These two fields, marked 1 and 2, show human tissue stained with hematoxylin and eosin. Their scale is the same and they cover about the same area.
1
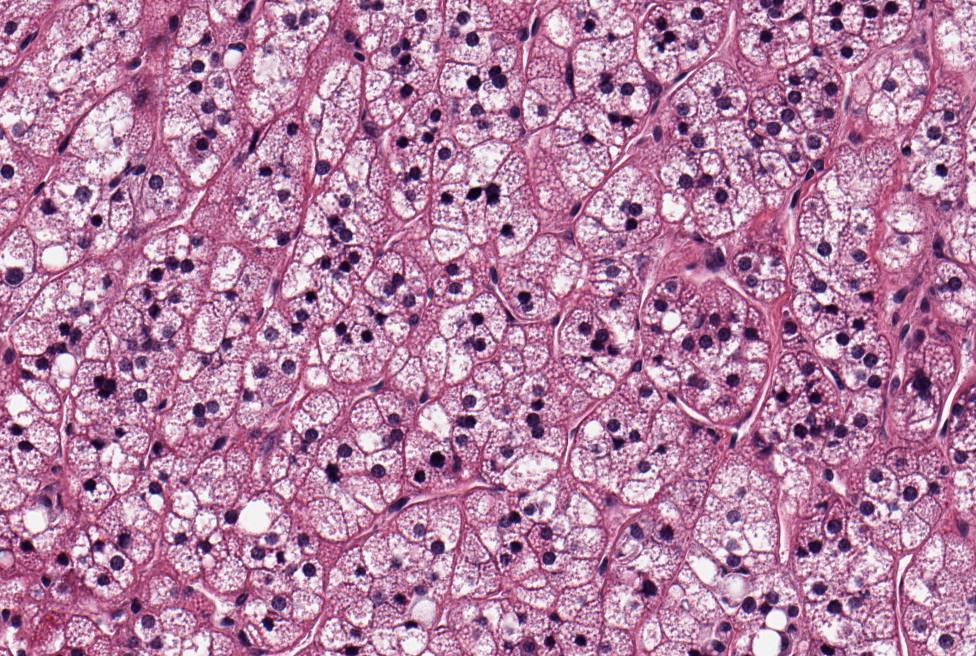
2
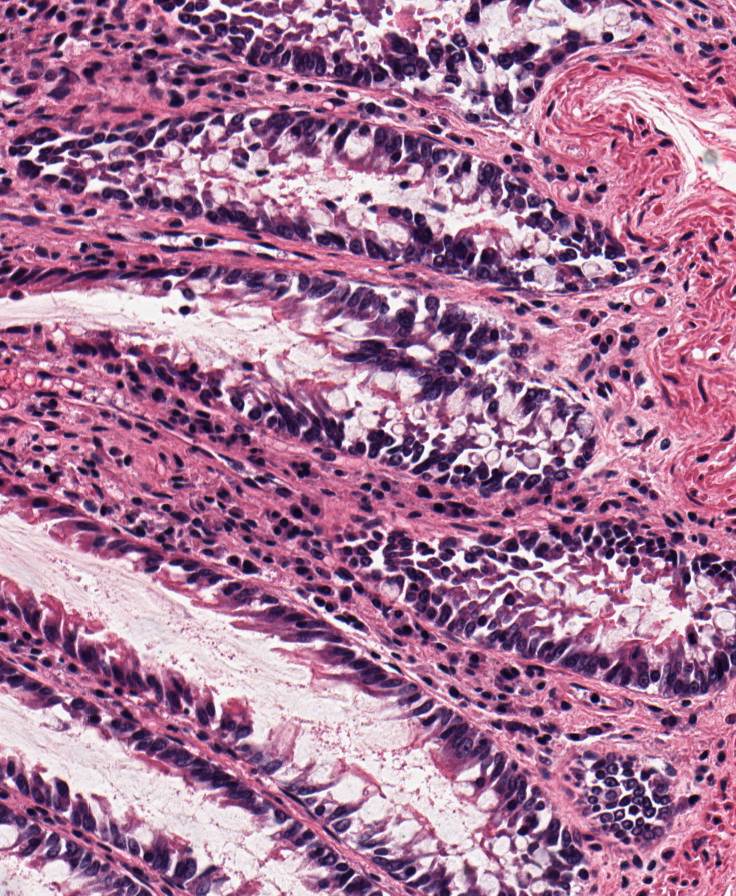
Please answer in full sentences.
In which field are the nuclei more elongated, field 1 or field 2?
On the whole the nuclei of field 2 are more drawn out than those of field 1.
